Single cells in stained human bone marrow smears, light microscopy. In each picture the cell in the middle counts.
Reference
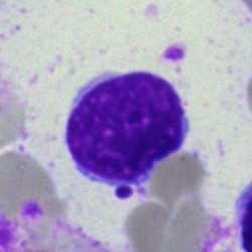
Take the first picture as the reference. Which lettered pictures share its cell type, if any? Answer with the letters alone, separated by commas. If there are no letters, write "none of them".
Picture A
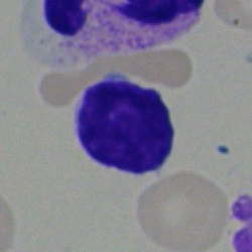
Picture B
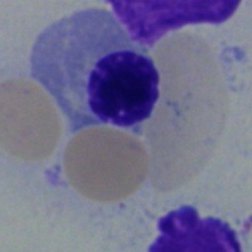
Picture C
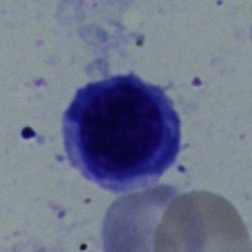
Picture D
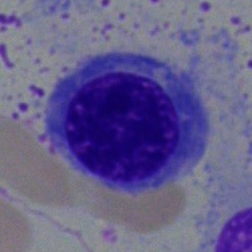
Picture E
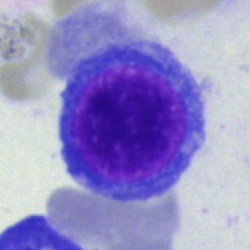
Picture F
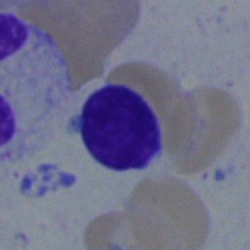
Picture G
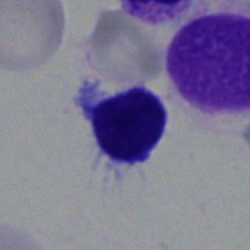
A, F, G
